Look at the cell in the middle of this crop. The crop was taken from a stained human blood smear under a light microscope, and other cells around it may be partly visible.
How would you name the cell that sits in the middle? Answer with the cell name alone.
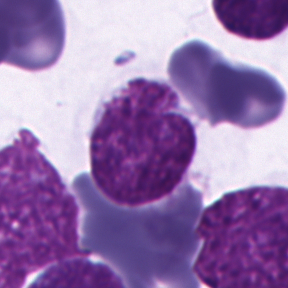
myeloblast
